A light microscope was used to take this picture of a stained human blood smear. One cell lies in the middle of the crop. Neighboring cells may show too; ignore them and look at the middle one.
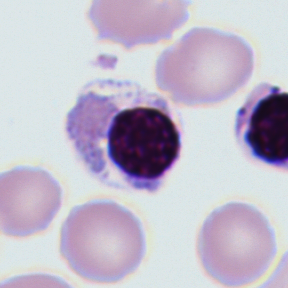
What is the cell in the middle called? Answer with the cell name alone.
normoblast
